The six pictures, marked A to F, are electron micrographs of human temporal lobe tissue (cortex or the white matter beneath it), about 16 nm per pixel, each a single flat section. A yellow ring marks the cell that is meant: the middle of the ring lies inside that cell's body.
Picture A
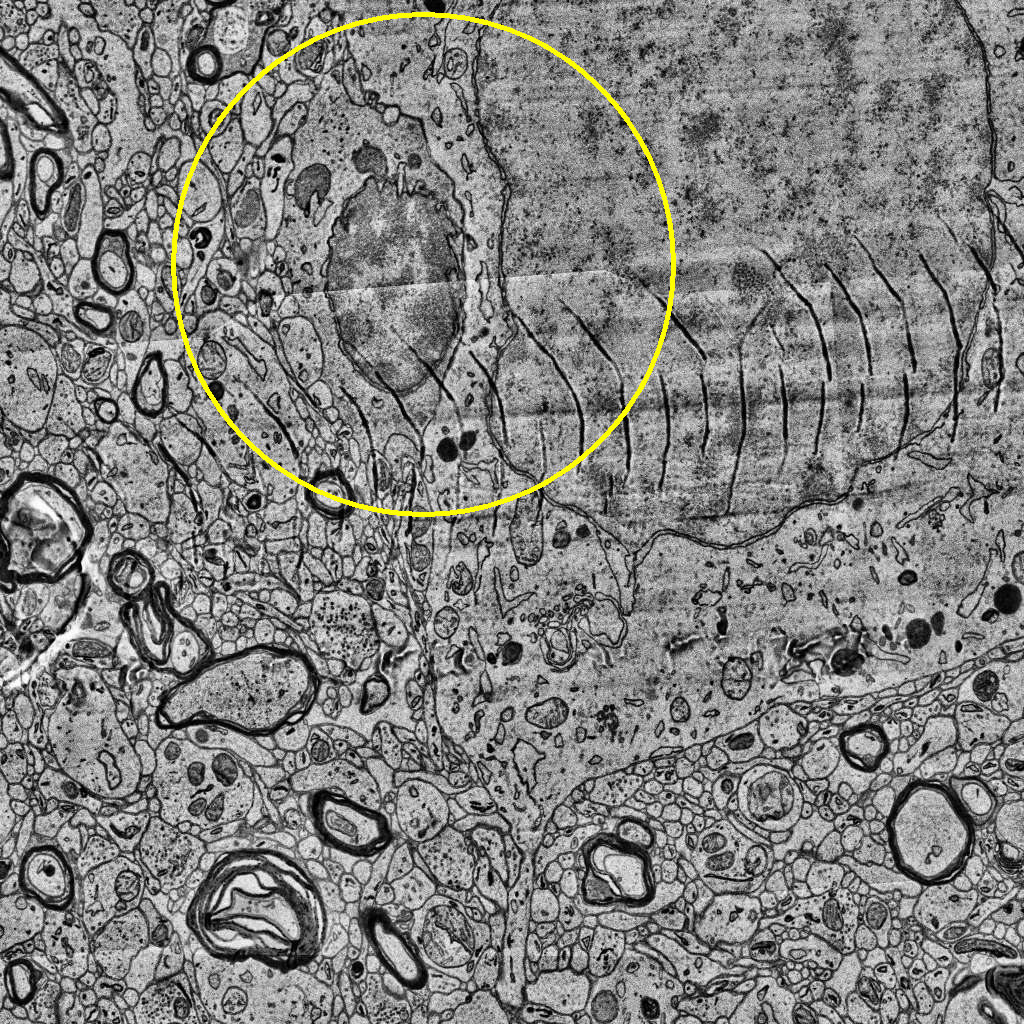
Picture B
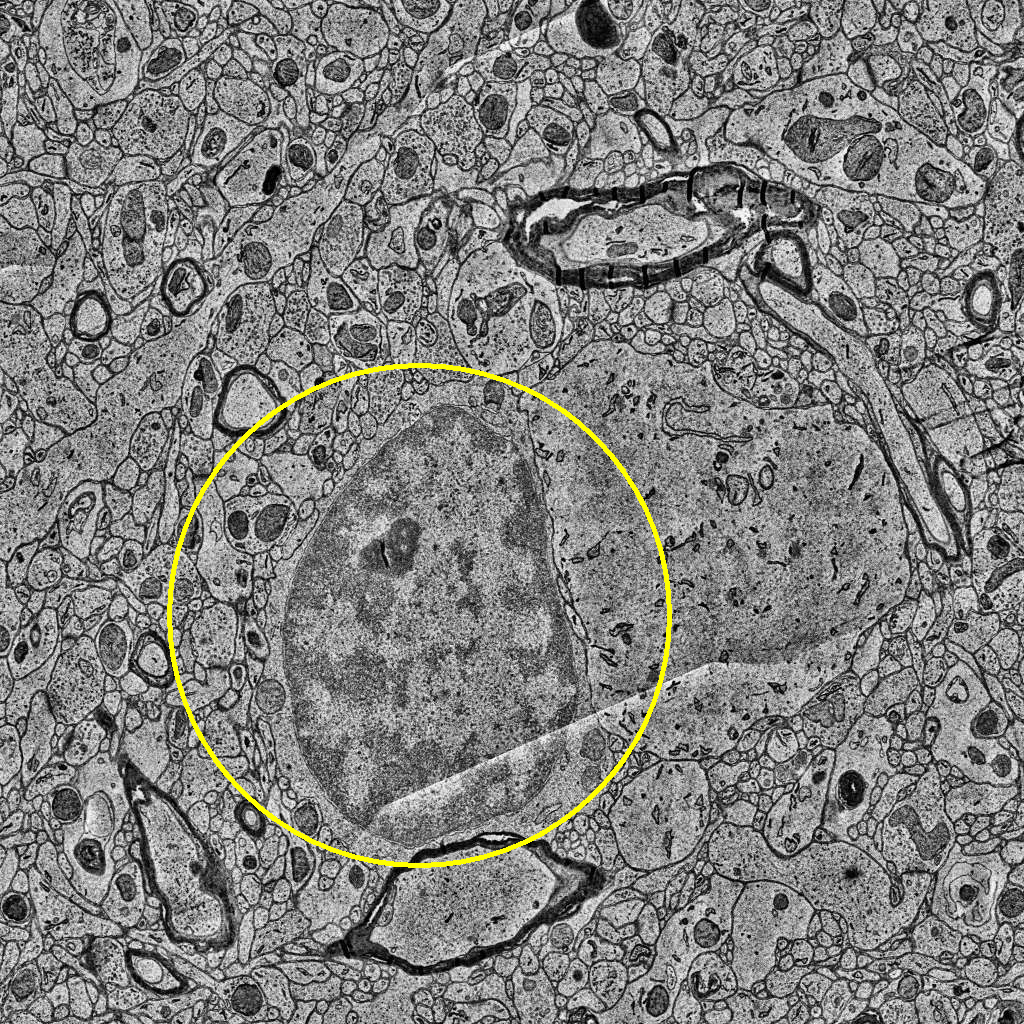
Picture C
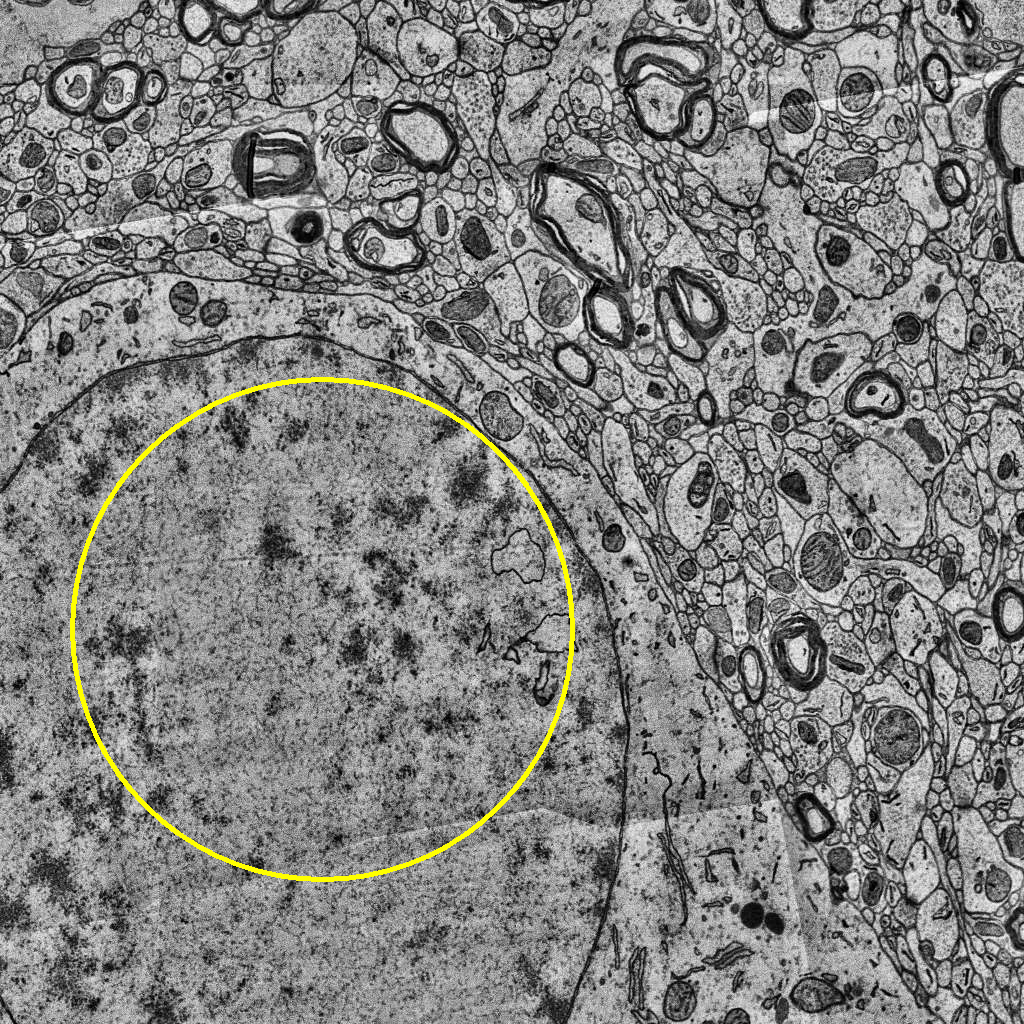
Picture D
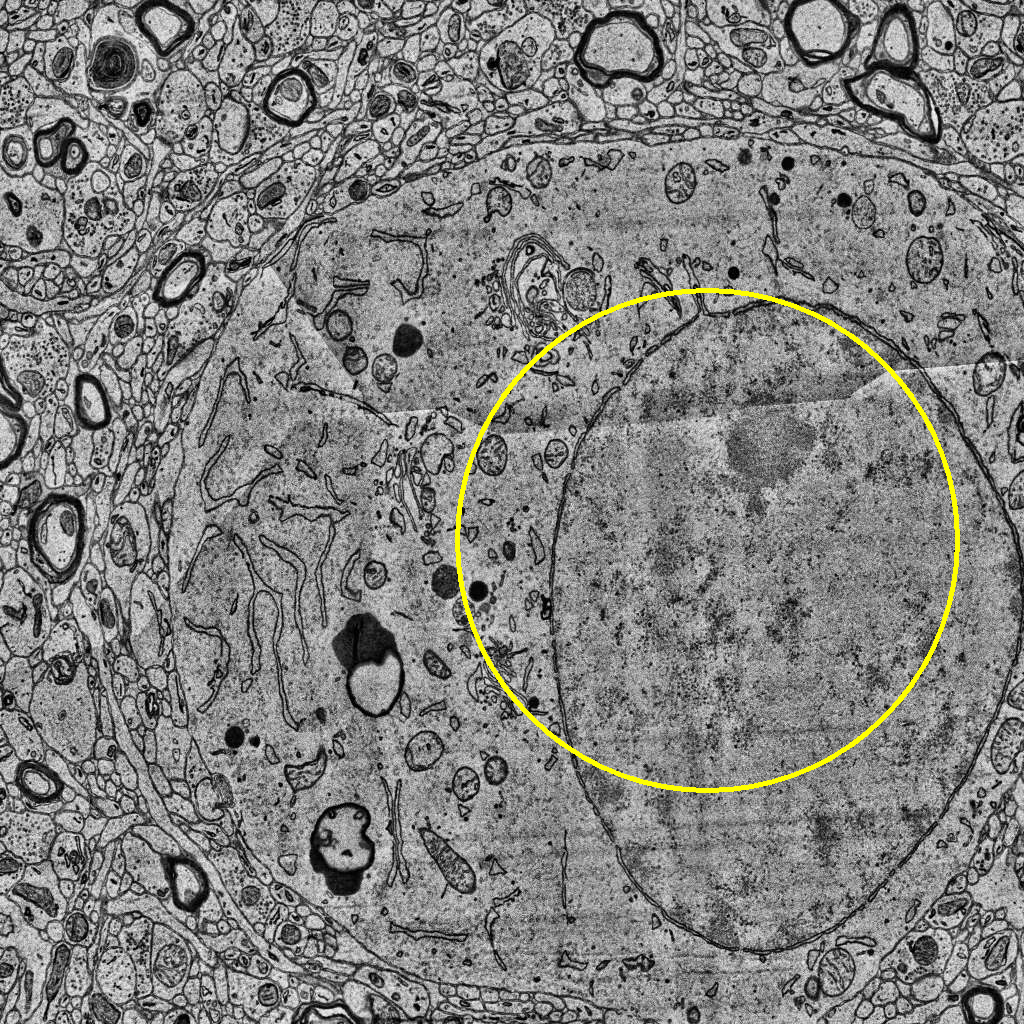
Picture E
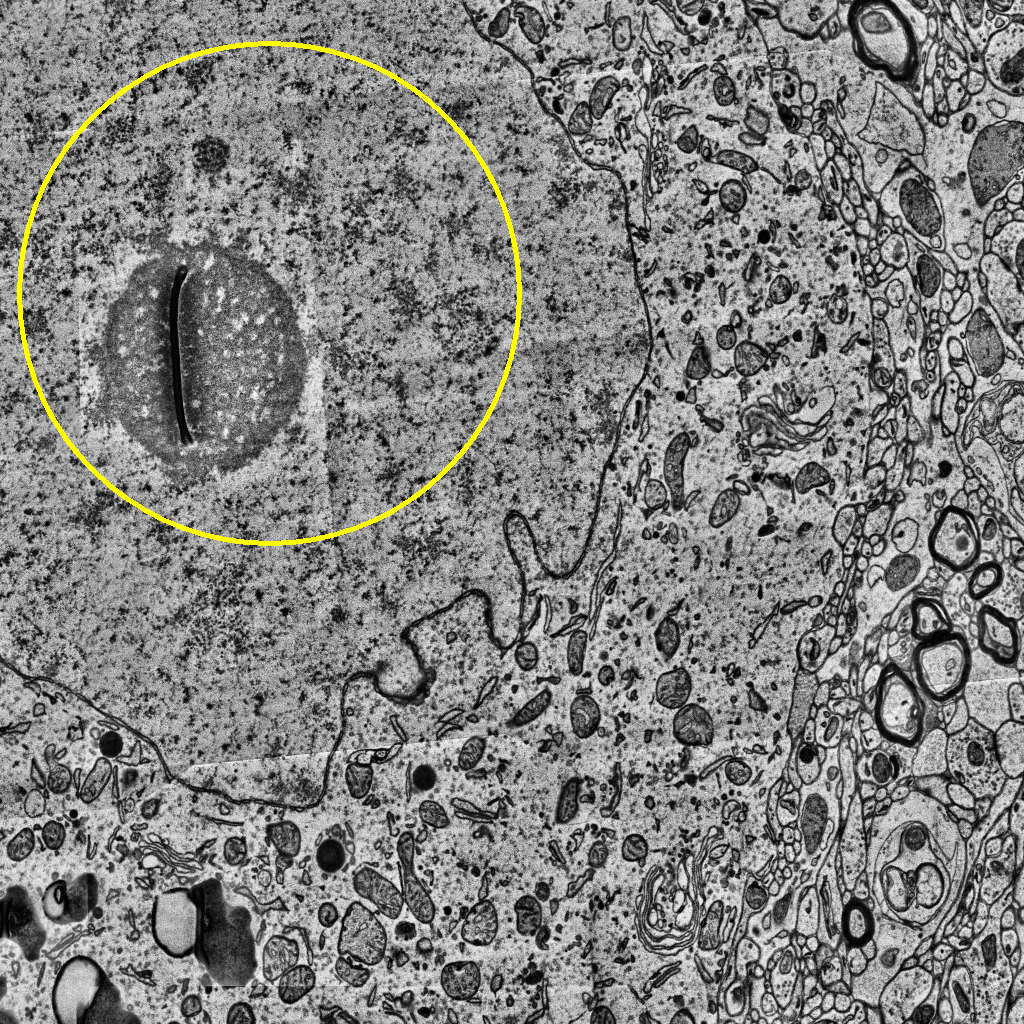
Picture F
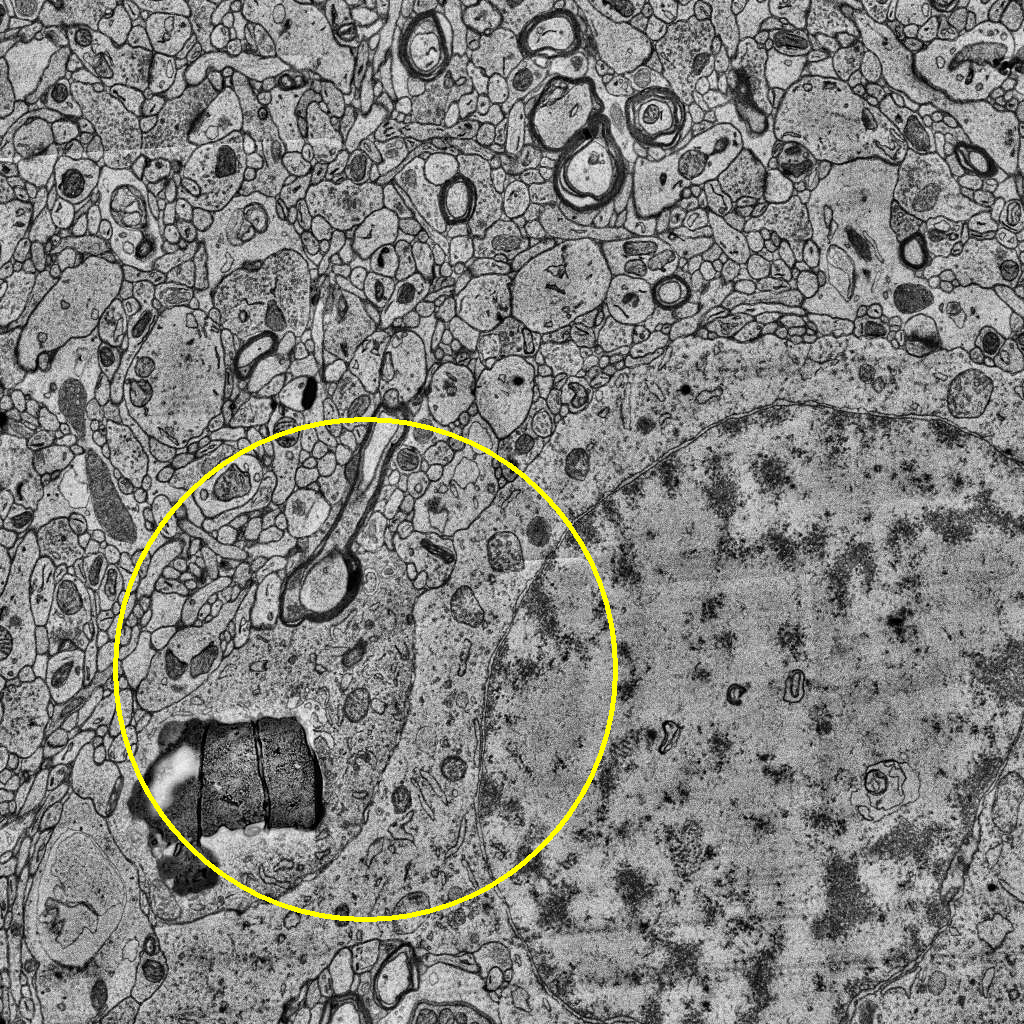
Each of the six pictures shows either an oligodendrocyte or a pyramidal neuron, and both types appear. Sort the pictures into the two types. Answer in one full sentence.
Pictures A, B and F show oligodendrocytes, and pictures C, D and E show pyramidal neurons.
